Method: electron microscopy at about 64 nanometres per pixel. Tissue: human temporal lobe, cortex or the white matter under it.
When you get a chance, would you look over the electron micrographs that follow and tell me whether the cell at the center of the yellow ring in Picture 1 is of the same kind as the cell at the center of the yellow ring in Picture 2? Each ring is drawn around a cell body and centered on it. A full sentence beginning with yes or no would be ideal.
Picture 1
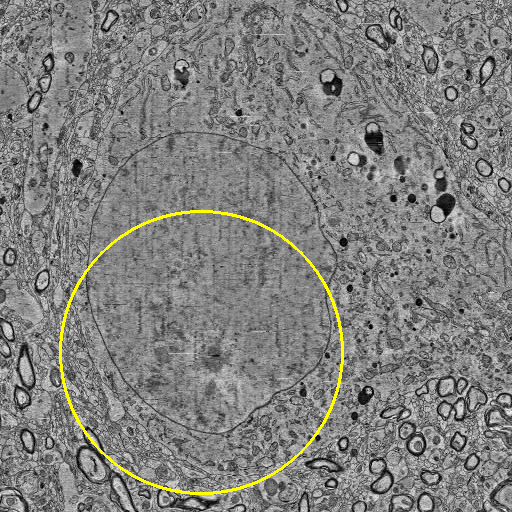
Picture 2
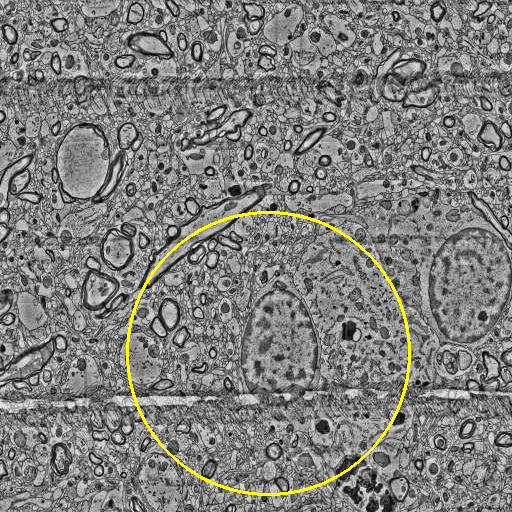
No, they are two kinds of cell.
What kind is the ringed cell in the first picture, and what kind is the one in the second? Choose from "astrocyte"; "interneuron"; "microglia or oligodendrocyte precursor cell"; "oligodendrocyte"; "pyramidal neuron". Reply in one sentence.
The first cell is a pyramidal neuron; the second is an oligodendrocyte.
